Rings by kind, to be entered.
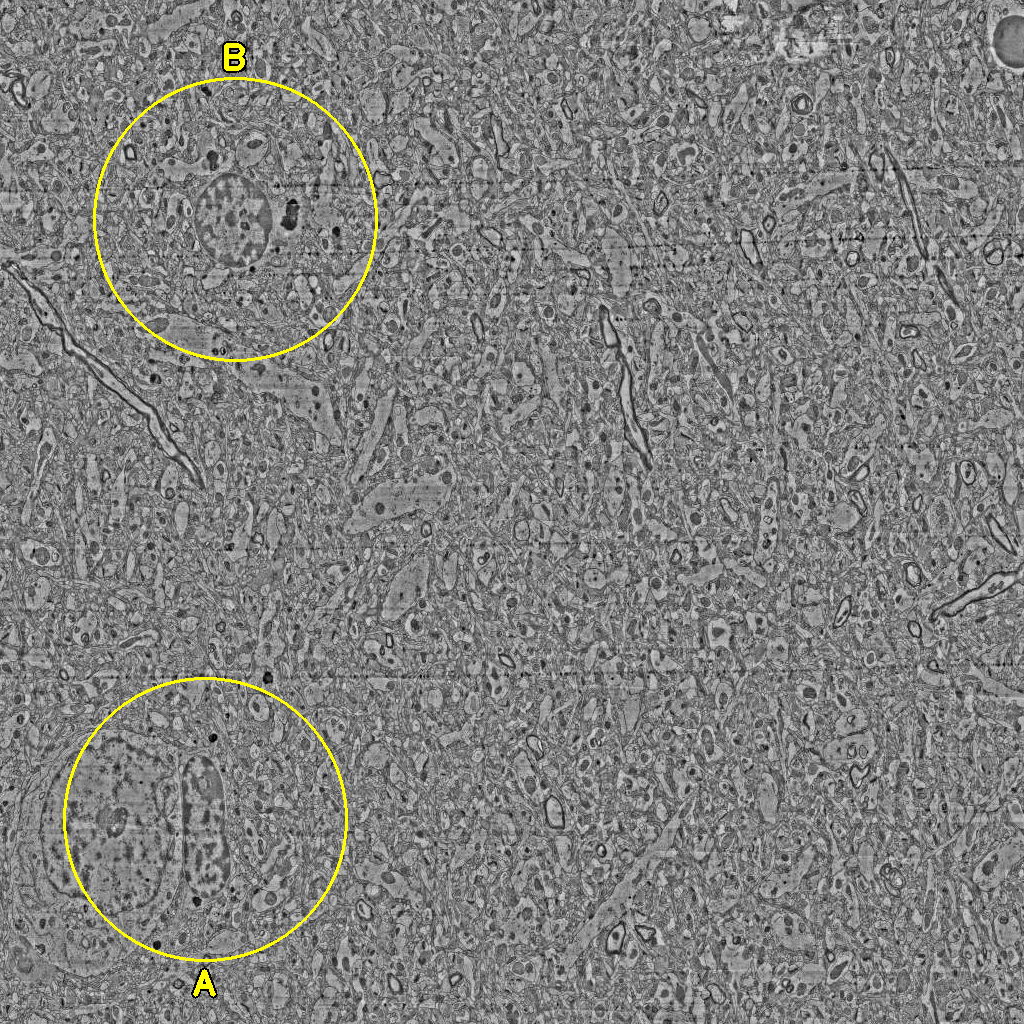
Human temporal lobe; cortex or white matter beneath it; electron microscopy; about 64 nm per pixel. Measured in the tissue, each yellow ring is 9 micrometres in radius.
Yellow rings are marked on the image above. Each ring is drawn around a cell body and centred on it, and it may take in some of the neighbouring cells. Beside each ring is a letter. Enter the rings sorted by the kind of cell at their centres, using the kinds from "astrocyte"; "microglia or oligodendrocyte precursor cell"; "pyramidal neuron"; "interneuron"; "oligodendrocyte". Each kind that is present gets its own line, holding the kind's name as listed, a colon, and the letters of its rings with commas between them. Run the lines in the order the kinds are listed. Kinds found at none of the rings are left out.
microglia or oligodendrocyte precursor cell: A
oligodendrocyte: B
